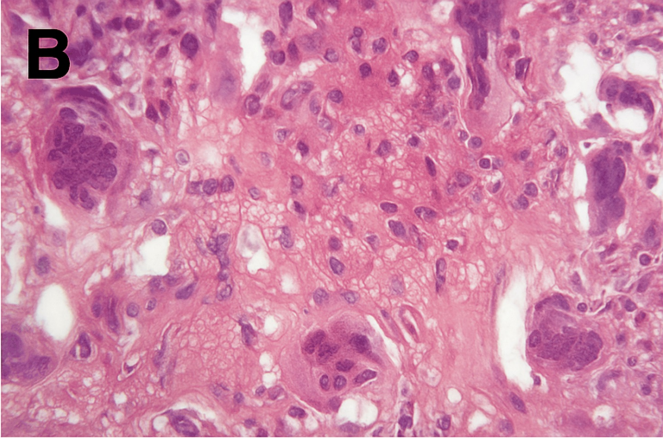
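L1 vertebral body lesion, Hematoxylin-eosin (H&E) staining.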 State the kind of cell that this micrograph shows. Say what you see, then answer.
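Several large cells each contain many clustered nuclei. The large cells are scattered among much smaller single-nucleus cells.
Multinucleated osteoclast-like giant cells.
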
